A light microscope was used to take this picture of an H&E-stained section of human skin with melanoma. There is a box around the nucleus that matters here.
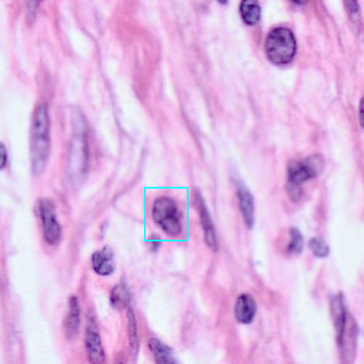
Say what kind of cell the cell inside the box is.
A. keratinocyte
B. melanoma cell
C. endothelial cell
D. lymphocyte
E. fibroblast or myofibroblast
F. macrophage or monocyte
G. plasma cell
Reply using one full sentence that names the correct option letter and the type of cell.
Exactly as option F gives it, the cell inside the box is a macrophage or monocyte.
